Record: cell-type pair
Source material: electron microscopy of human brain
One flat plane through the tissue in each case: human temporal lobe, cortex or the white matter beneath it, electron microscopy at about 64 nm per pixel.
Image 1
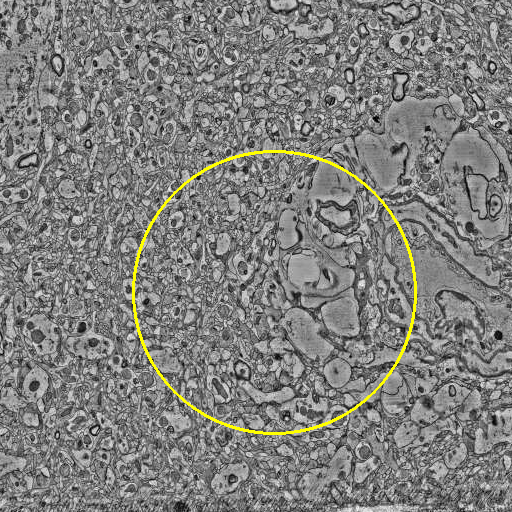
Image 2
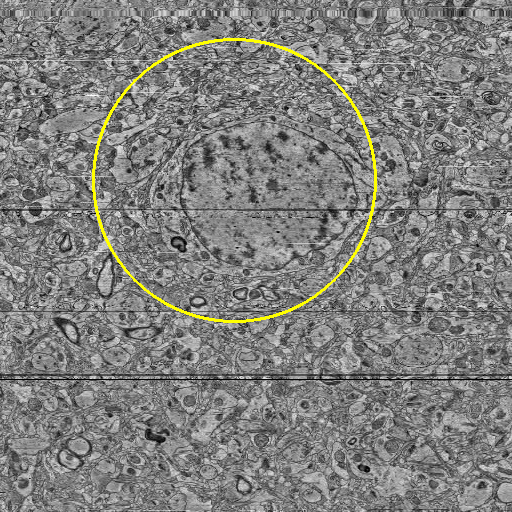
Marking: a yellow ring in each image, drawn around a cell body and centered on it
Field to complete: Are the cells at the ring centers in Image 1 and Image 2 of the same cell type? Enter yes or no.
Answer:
no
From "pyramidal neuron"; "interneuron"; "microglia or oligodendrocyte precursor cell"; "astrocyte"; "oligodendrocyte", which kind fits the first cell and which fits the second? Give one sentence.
The cell marked in the first picture is an oligodendrocyte, and the one marked in the second is a pyramidal neuron.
